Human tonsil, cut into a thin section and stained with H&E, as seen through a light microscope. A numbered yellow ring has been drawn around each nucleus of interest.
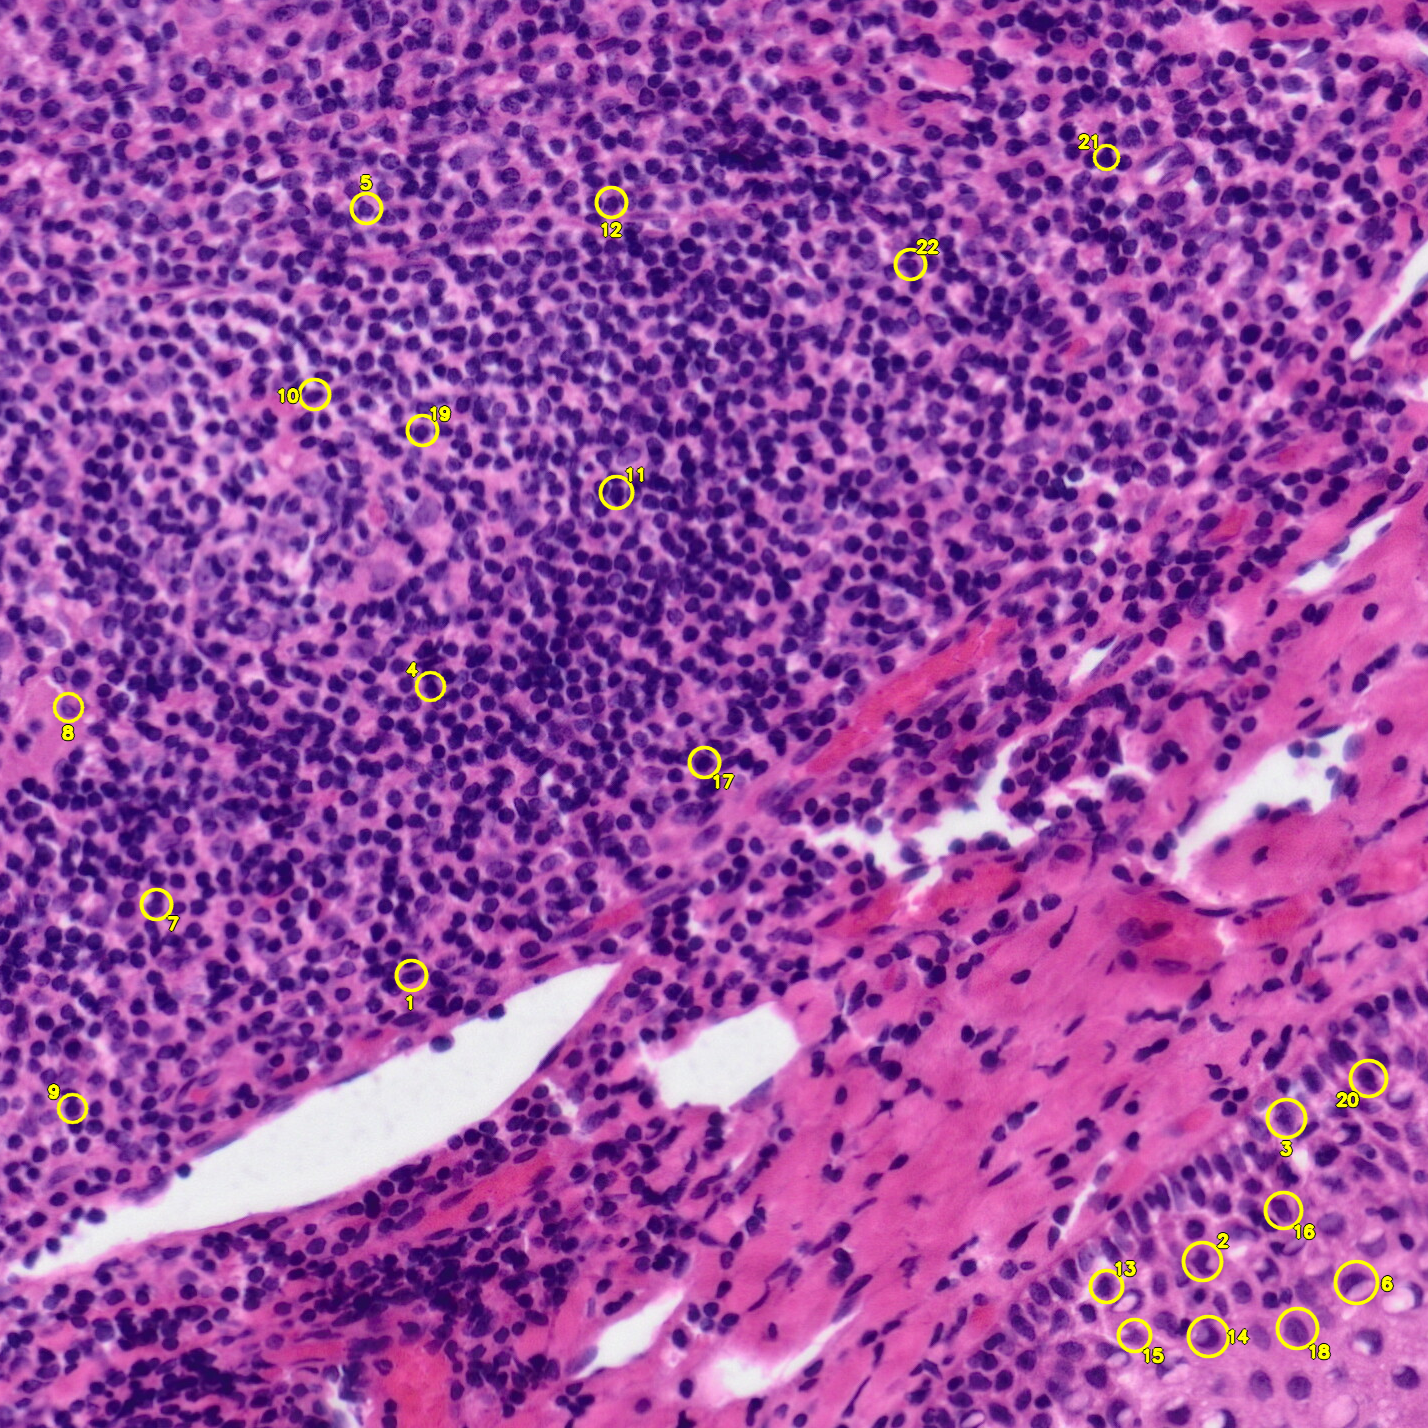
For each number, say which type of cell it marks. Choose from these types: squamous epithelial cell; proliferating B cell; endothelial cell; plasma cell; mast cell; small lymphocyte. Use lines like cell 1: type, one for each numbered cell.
cell 1: small lymphocyte
cell 2: squamous epithelial cell
cell 3: squamous epithelial cell
cell 4: small lymphocyte
cell 5: small lymphocyte
cell 6: squamous epithelial cell
cell 7: small lymphocyte
cell 8: endothelial cell
cell 9: small lymphocyte
cell 10: small lymphocyte
cell 11: small lymphocyte
cell 12: small lymphocyte
cell 13: squamous epithelial cell
cell 14: squamous epithelial cell
cell 15: squamous epithelial cell
cell 16: squamous epithelial cell
cell 17: small lymphocyte
cell 18: squamous epithelial cell
cell 19: small lymphocyte
cell 20: squamous epithelial cell
cell 21: small lymphocyte
cell 22: small lymphocyte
